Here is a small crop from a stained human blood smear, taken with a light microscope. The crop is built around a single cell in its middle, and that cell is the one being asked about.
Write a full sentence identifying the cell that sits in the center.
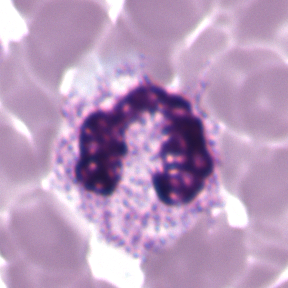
The single cell at the center of the crop is a segmented neutrophil.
